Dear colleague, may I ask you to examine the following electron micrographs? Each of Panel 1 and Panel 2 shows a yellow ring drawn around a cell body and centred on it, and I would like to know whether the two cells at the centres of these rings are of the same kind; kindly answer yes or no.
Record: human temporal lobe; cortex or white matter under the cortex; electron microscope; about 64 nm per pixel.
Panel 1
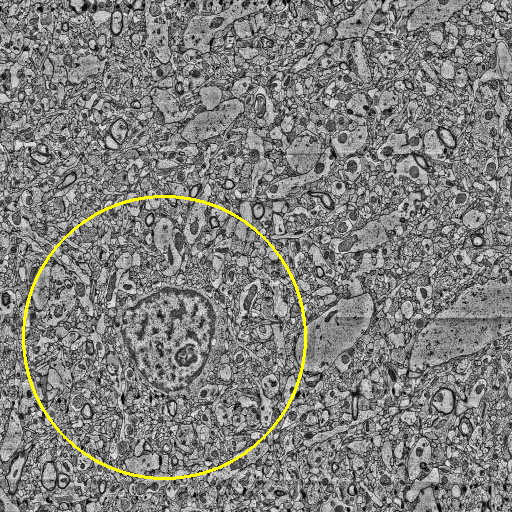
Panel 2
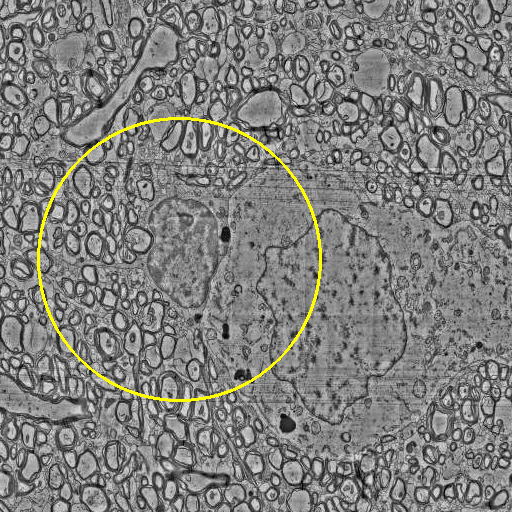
yes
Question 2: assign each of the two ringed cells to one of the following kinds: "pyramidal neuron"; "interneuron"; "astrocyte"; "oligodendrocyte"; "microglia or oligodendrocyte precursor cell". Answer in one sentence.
In each of the two pictures, the ringed cell is an oligodendrocyte.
